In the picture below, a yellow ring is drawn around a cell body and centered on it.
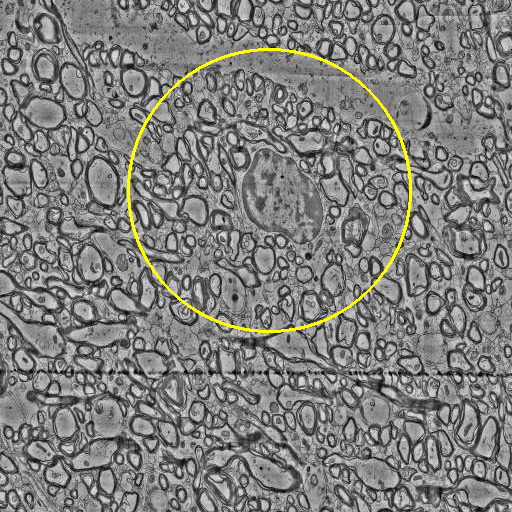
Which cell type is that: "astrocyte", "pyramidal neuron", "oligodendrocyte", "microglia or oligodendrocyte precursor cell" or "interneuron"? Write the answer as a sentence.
The cell centered in the ring is a microglial cell or oligodendrocyte precursor cell.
